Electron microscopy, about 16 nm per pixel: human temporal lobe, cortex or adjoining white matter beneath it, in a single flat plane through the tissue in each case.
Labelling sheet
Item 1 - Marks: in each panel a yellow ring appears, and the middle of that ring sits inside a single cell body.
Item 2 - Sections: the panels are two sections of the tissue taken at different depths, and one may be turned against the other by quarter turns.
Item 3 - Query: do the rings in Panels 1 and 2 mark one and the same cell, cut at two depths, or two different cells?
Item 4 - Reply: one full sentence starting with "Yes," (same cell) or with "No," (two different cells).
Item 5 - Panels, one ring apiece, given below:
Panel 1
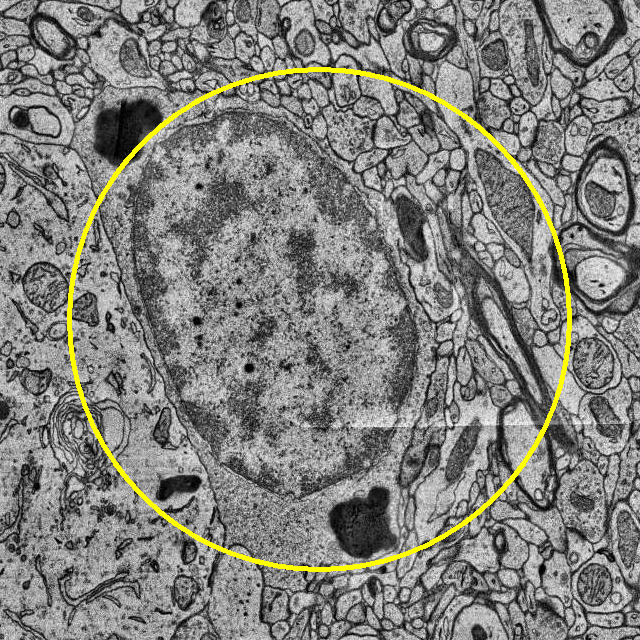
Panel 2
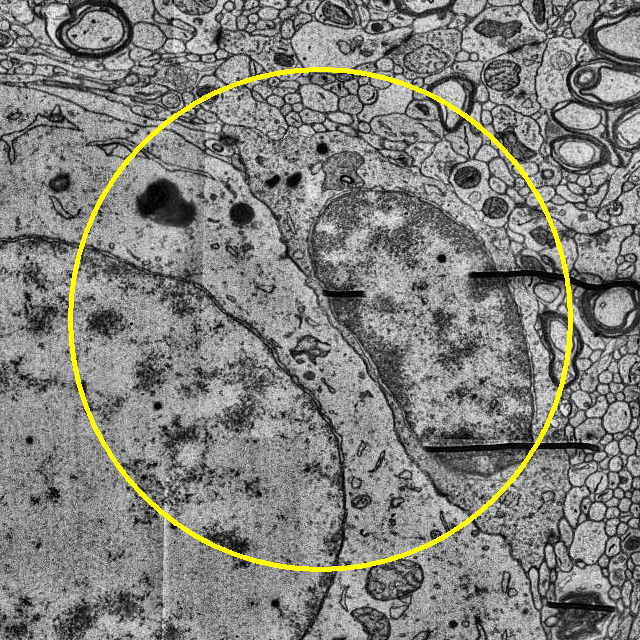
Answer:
No, each ring in the micrograph marks a distinct cell.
